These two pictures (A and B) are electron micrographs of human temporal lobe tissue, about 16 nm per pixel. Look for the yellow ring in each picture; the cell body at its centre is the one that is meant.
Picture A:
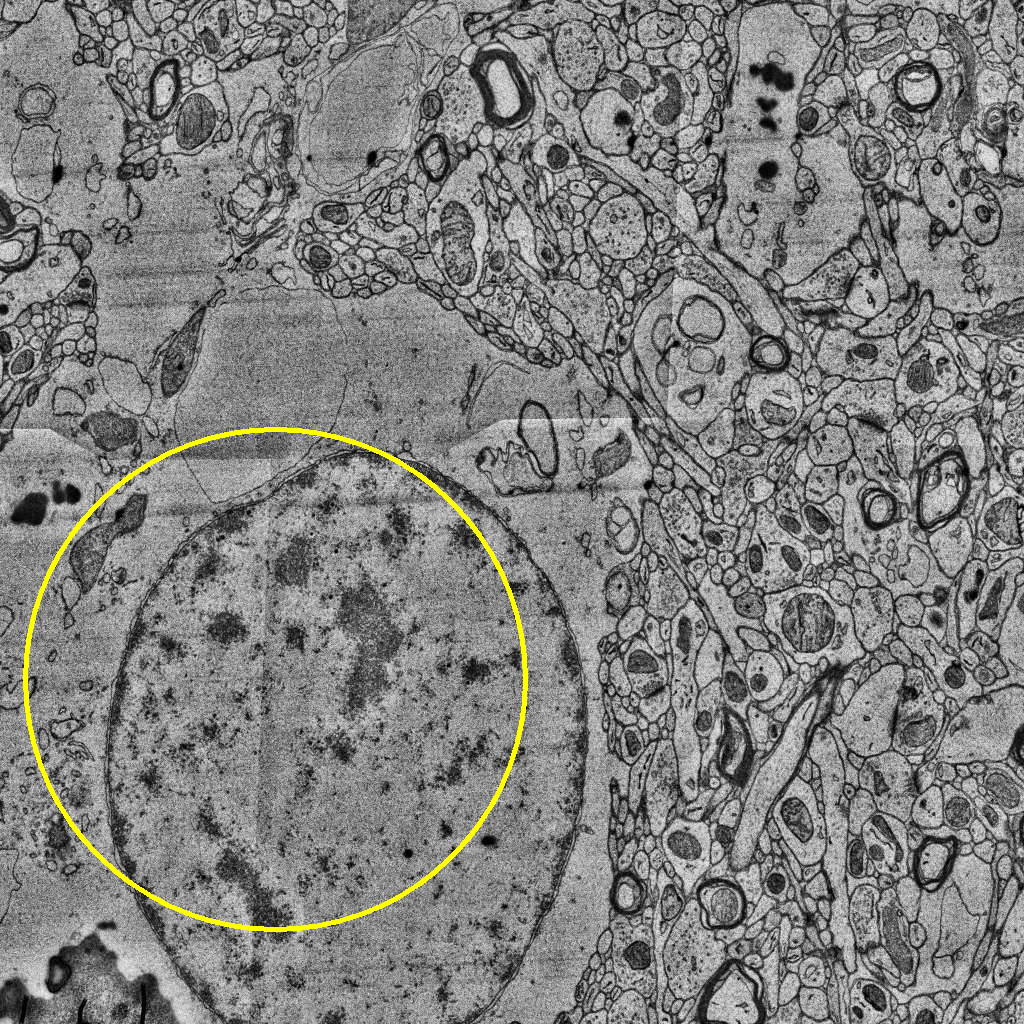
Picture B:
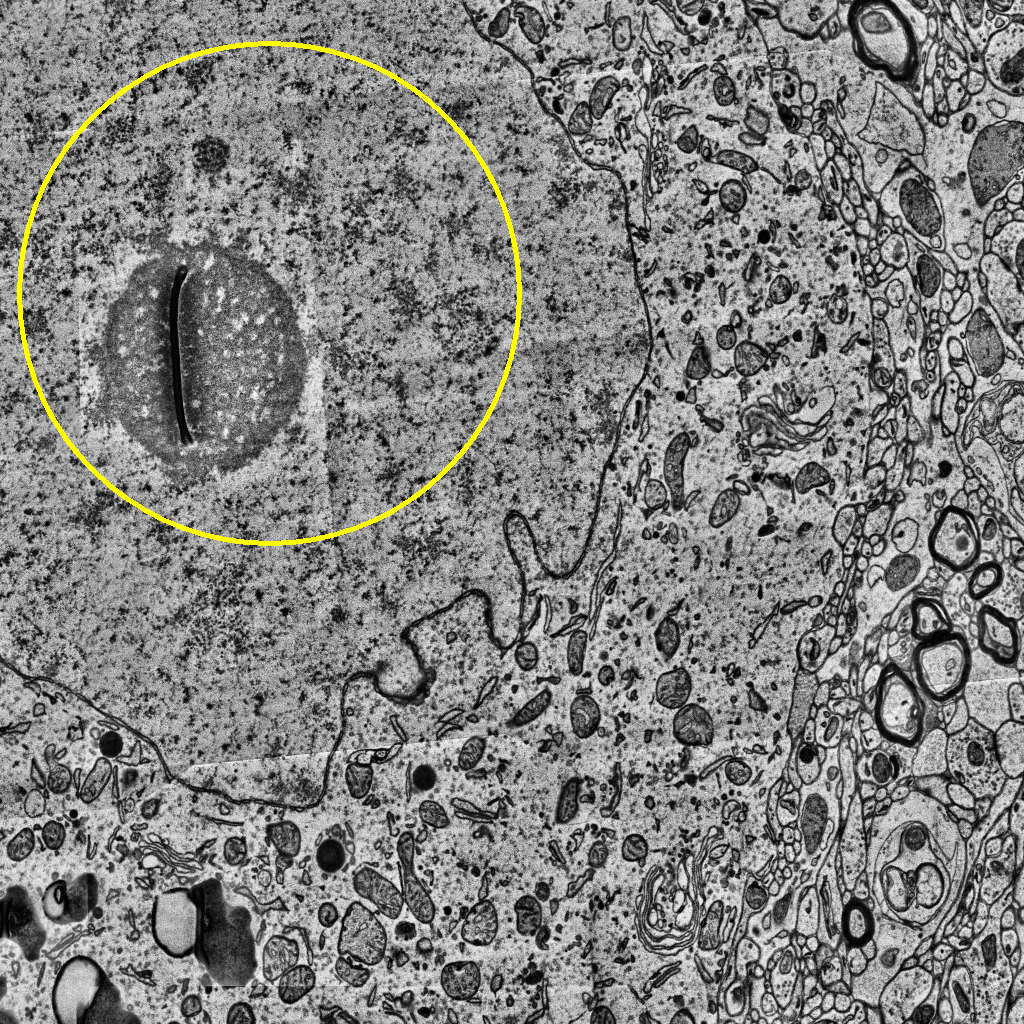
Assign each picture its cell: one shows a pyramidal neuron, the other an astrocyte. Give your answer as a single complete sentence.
It is picture A that shows an astrocyte, and picture B that shows a pyramidal neuron.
